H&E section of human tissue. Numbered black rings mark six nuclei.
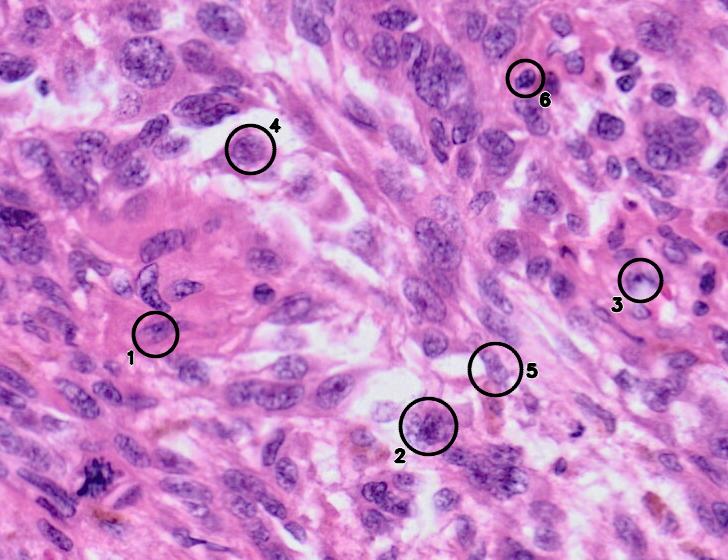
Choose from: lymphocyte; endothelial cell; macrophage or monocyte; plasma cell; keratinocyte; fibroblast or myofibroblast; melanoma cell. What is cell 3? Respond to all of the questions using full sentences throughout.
The marked nucleus 3 is that of an endothelial cell.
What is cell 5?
The cell marked with the number 5 is a melanoma cell.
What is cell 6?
The cell referenced by the number 6 is a lymphocyte in this field.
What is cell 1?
In this section, number 1 marks an endothelial cell.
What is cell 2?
The nucleus marked 2 is the nucleus of a melanoma cell.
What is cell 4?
The numbered cell 4 is identified here as a melanoma cell.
